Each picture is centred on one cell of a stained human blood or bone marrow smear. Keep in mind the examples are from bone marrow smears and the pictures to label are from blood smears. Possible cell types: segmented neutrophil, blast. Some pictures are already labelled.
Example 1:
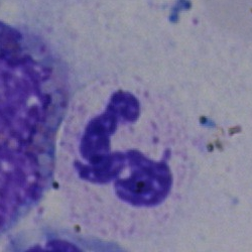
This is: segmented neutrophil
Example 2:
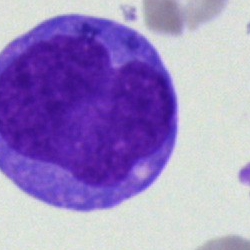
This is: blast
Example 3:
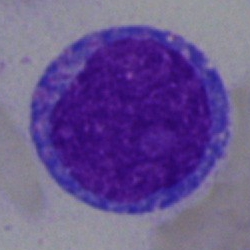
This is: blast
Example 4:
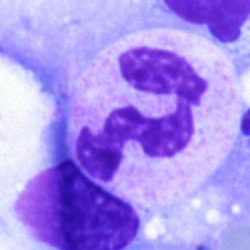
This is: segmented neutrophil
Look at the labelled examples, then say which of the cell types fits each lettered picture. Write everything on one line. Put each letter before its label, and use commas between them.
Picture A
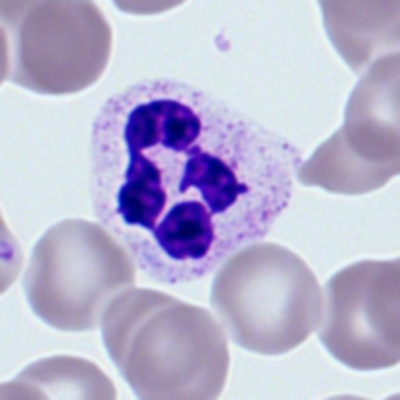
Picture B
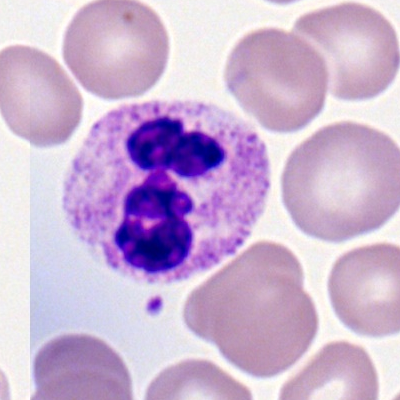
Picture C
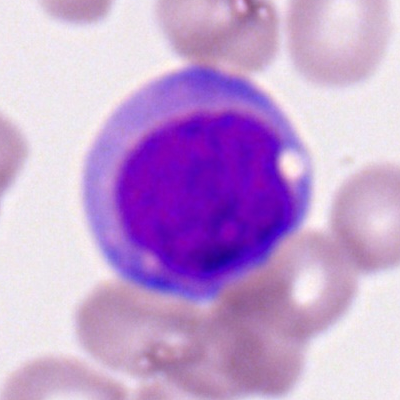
A segmented neutrophil, B segmented neutrophil, C blast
